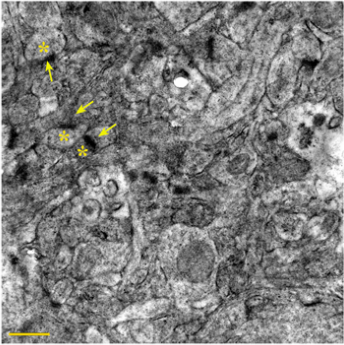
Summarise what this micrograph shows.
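Neuropil with densely packed neuronal processes cut in cross and longitudinal section. Several small presynaptic profiles filled with clusters of small round vesicles are apposed to postsynaptic elements along dark, thickened membrane contacts.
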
